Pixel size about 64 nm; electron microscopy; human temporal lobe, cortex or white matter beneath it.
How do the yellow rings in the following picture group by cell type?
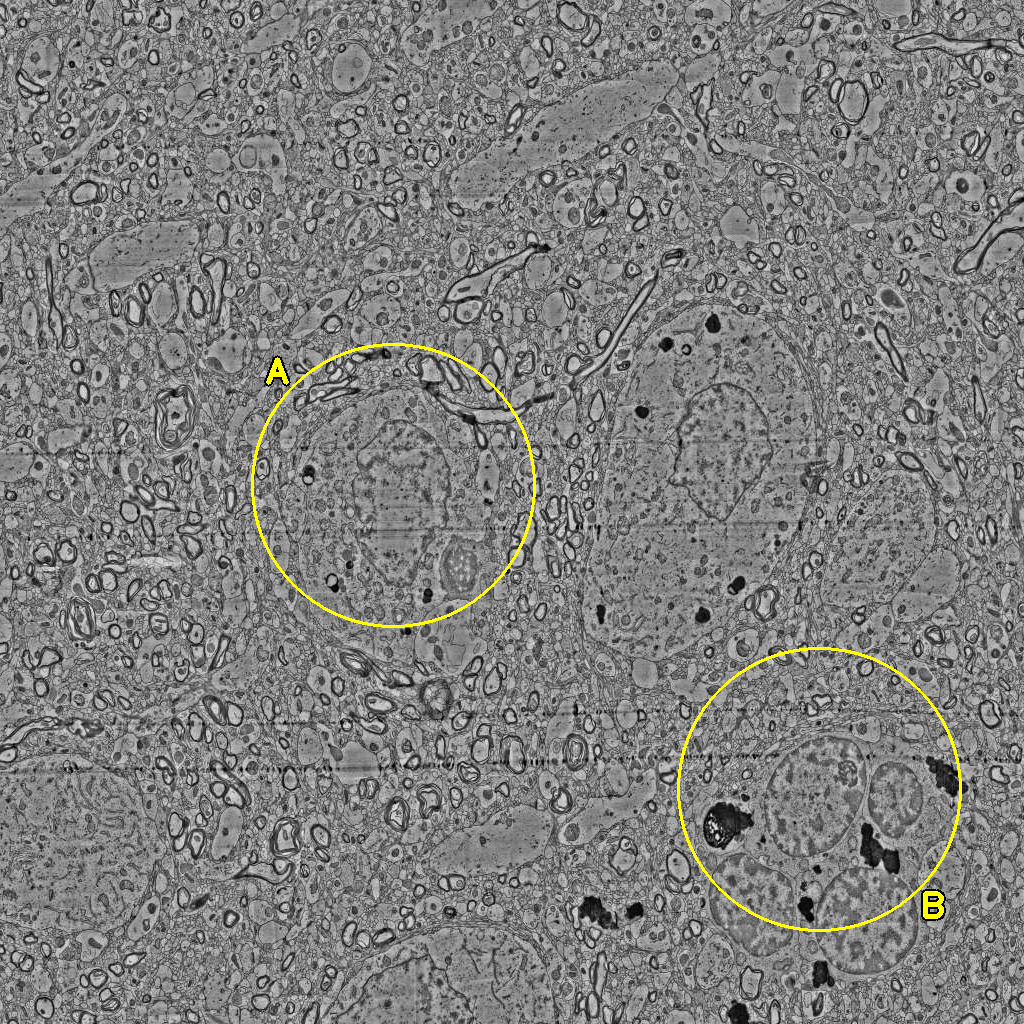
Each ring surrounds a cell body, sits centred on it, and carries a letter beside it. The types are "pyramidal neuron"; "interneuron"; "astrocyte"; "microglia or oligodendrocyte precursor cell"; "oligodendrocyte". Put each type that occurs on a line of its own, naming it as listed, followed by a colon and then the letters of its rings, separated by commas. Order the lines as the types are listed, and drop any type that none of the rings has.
interneuron: A
oligodendrocyte: B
